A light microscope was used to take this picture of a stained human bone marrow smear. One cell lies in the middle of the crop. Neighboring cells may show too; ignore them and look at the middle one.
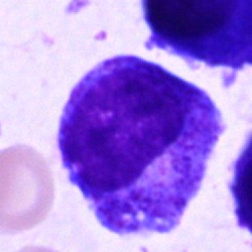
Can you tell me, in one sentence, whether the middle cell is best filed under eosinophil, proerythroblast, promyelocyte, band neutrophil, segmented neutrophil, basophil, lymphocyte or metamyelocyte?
The middle of this crop is occupied by a promyelocyte.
